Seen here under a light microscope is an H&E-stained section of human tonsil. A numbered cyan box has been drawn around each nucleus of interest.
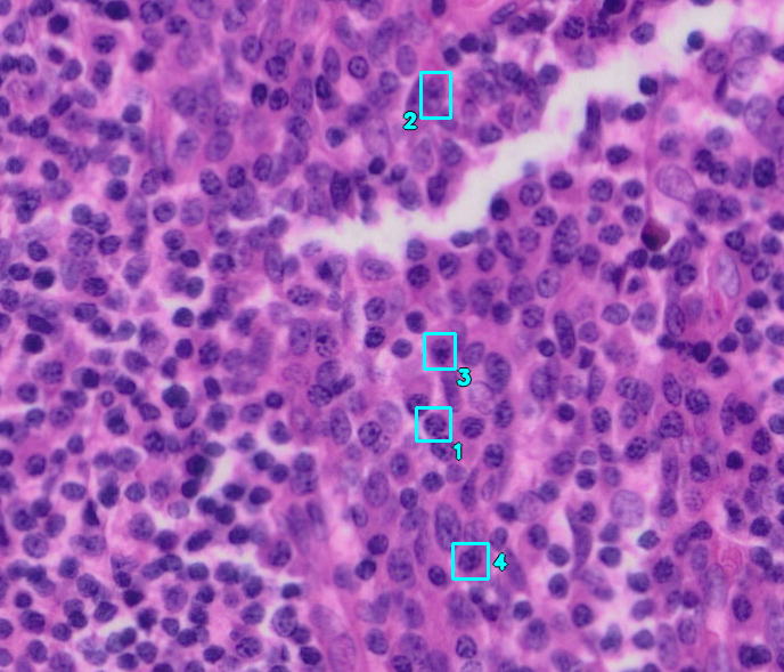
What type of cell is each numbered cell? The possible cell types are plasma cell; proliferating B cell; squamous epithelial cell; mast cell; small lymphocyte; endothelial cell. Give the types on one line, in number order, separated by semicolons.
plasma cell; squamous epithelial cell; plasma cell; plasma cell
